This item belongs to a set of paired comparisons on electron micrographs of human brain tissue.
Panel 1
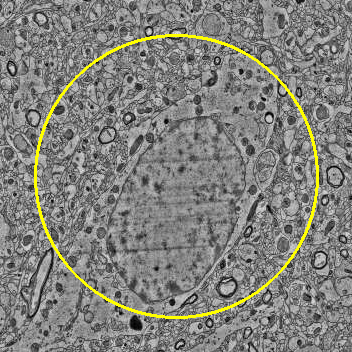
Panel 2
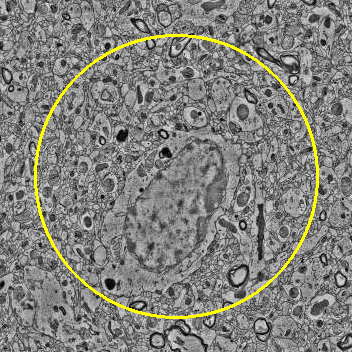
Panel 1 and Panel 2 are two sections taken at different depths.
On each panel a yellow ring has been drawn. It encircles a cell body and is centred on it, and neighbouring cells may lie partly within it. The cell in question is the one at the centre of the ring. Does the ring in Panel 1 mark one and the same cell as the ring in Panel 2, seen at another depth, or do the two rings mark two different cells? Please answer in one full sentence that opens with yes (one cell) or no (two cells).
Yes, the two rings belong to one cell, not to two.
